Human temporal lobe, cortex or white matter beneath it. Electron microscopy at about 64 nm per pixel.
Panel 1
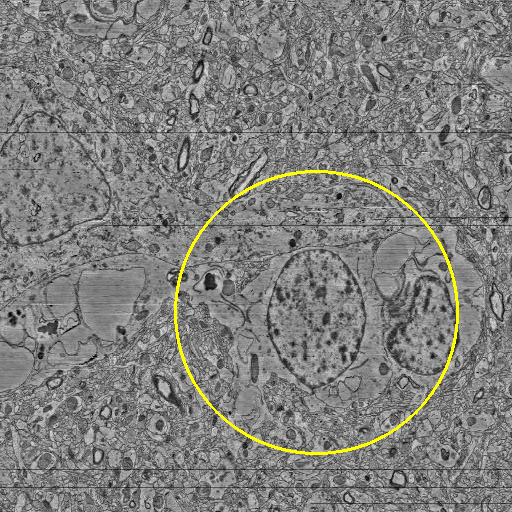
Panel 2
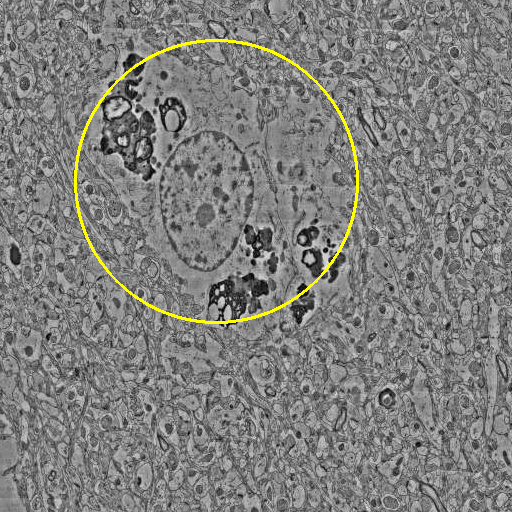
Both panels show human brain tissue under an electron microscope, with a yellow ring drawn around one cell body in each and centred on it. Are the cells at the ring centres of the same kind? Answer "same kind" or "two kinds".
same kind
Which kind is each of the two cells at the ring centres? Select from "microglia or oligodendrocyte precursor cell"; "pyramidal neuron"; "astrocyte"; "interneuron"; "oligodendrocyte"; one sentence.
Each cell, in the first picture and the second, is an astrocyte.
